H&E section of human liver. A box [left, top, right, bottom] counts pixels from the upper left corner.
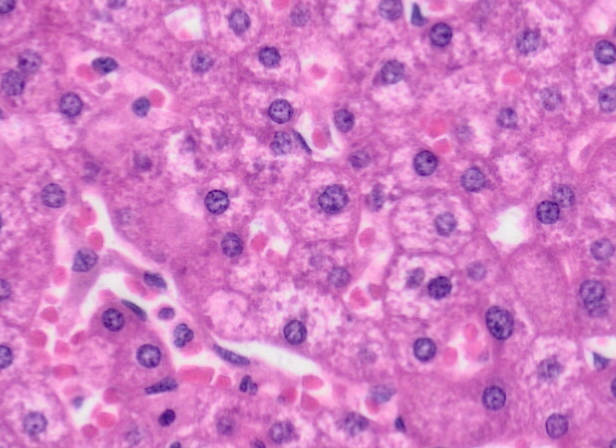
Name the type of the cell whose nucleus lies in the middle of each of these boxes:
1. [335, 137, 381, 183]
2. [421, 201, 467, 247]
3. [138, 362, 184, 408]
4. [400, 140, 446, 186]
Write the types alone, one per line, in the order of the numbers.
hepatocyte
hepatocyte
fibroblast or stellate cell
hepatocyte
